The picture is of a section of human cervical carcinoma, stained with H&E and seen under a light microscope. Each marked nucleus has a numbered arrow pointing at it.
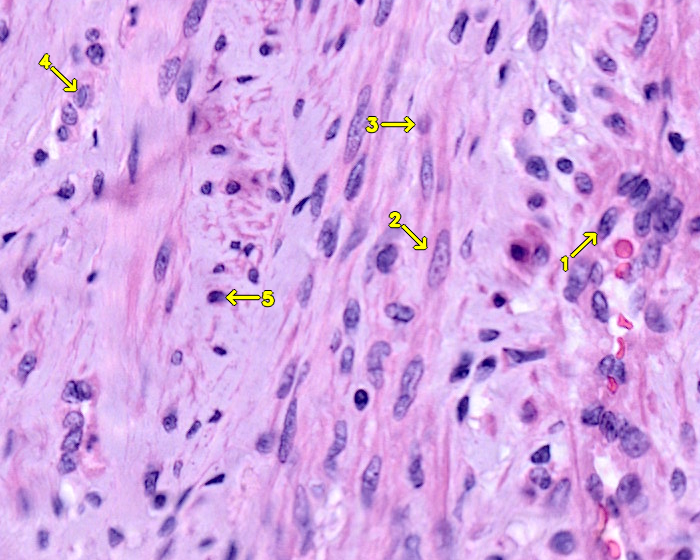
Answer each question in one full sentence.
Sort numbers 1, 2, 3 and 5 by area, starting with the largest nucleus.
From largest to smallest, the order is 2, 1, 3, 5.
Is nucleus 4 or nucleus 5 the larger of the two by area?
The larger nucleus is 4, at roughly 1.5 times the area of 5.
